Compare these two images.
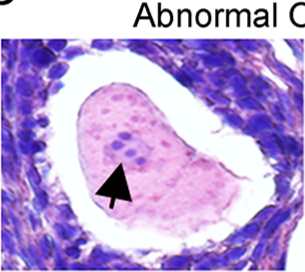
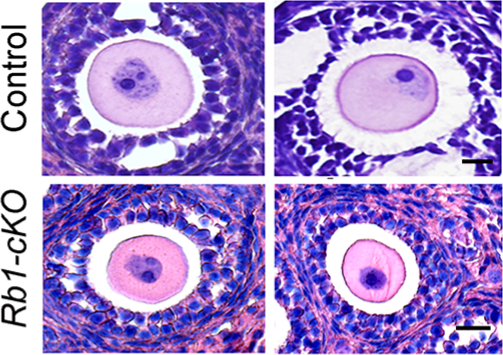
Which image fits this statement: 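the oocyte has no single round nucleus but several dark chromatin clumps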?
The first image.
